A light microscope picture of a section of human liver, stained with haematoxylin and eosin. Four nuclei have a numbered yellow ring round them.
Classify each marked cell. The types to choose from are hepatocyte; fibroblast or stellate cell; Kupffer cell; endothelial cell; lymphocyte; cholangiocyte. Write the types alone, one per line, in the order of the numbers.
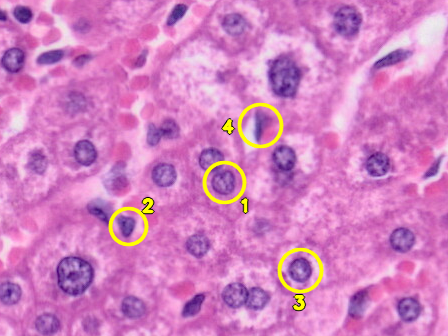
hepatocyte
lymphocyte
hepatocyte
endothelial cell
